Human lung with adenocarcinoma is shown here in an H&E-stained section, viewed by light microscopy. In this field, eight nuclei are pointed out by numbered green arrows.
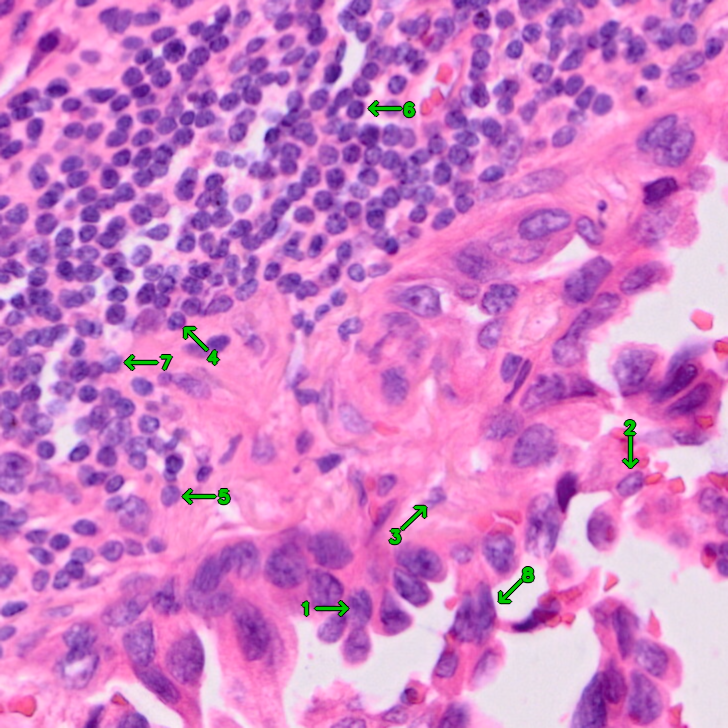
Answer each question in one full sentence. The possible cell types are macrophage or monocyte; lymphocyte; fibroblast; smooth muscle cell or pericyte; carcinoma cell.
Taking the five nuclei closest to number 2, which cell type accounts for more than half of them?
The majority of the five nuclei closest to number 2 belong to carcinoma cells.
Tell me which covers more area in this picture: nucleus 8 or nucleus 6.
Nucleus 8 covers more area, about 4 times as much as nucleus 6.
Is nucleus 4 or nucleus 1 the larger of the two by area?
Nucleus 1 is the larger one, covering about 2.5 times the area of nucleus 4.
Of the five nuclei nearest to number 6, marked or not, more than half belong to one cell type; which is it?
Most of the five nuclei nearest to number 6 are those of lymphocytes.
